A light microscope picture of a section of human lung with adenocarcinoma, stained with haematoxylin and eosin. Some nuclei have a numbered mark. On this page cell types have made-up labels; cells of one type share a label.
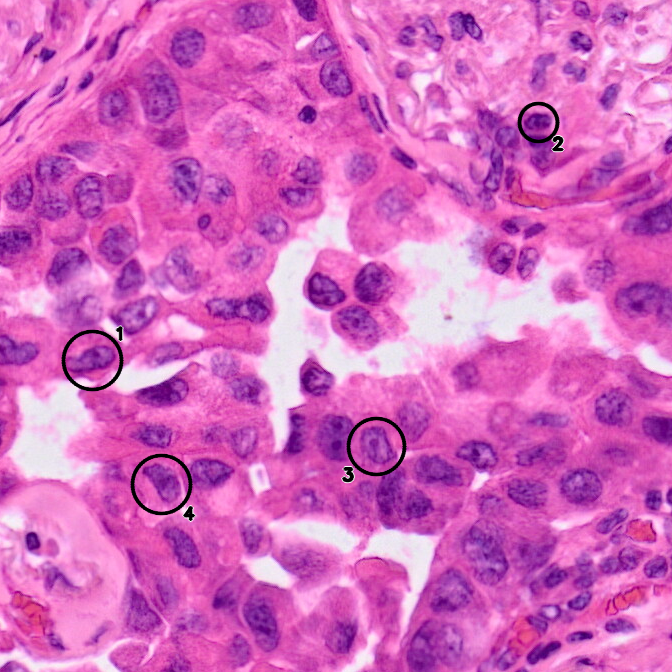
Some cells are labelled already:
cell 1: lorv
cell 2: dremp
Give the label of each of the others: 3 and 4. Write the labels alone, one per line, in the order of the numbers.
lorv
lorv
